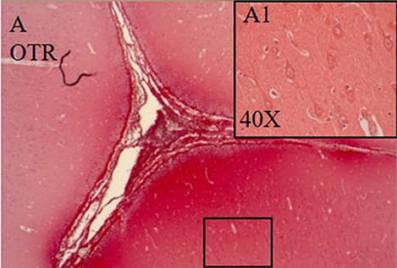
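Cerebral cortex around the base of a sulcus, with an inset of cortical neurons at higher power. A branching cleft containing pia and blood vessels with dark red walls extends through the tissue. The parenchyma surrounding the base of the cleft shows a diffuse intense red blush that fades gradually into paler cortex further away. Thin vessel profiles are scattered in the cortex. In the inset, cortical neurons appear as pyramidal and rounded cell bodies with pale nuclei set in a reddish-pink neuropil.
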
